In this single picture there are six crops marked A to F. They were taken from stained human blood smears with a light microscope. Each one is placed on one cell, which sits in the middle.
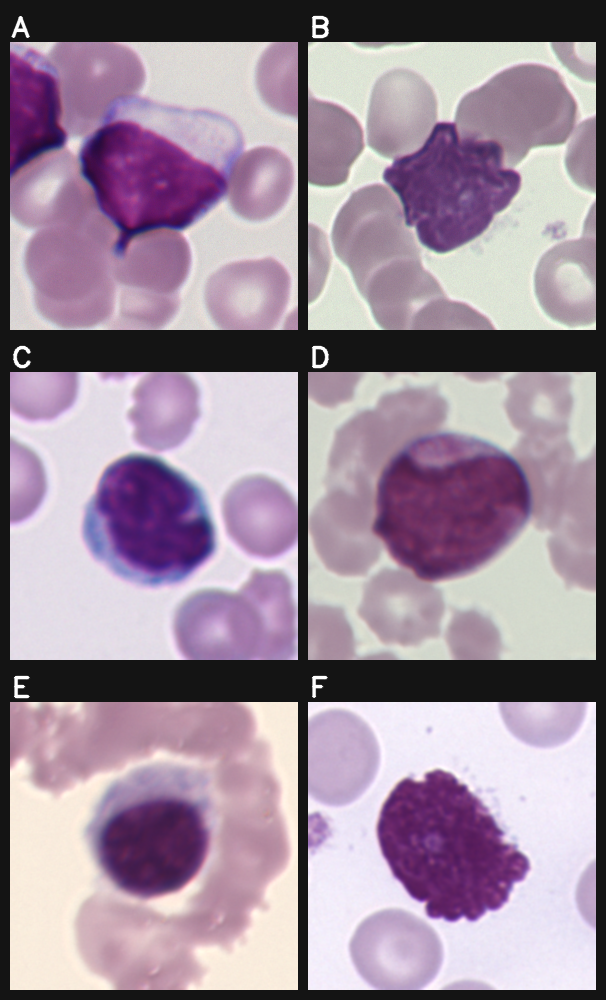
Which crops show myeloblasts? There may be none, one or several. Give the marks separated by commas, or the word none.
D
